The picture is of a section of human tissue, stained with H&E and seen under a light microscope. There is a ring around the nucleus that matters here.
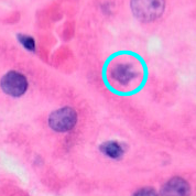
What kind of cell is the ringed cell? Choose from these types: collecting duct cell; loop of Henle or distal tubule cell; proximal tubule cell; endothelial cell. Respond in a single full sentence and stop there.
To be brief about it, the ringed cell is a proximal tubule cell.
